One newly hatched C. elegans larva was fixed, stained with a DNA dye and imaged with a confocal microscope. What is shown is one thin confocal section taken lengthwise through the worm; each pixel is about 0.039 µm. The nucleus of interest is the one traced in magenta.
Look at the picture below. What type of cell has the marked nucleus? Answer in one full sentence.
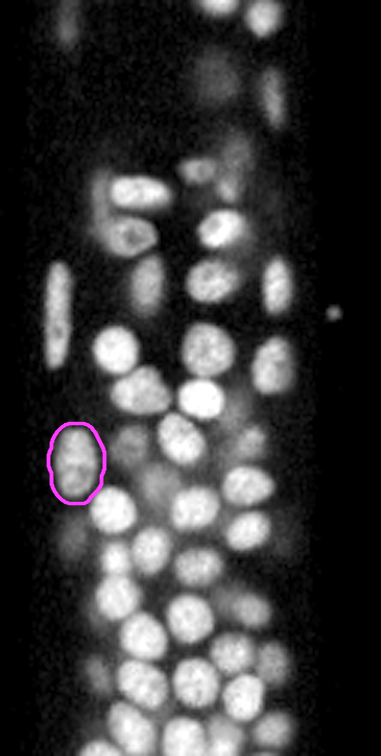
This is the nucleus of a body wall muscle cell.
